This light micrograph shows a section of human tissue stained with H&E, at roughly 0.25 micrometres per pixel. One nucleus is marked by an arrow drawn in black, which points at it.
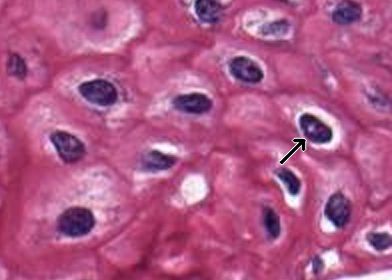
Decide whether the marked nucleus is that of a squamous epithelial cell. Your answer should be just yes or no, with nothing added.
yes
